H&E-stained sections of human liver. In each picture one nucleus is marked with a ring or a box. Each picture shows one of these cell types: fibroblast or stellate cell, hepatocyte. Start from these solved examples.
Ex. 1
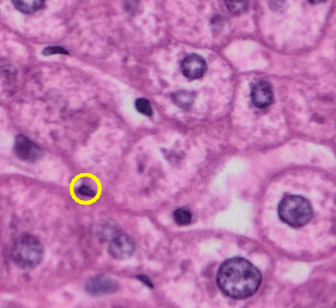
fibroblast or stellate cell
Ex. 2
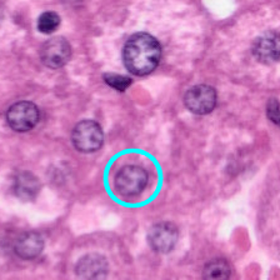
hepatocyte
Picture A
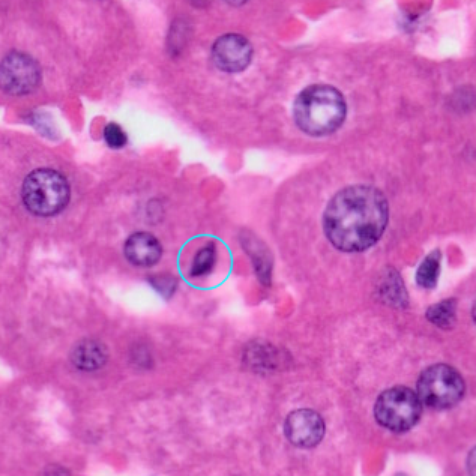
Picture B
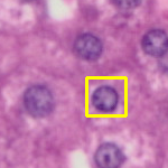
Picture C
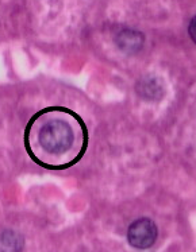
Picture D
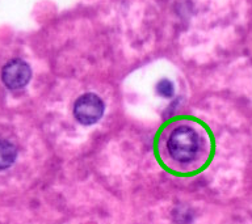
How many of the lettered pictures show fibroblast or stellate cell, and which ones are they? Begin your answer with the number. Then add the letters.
Count: 1 (A)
